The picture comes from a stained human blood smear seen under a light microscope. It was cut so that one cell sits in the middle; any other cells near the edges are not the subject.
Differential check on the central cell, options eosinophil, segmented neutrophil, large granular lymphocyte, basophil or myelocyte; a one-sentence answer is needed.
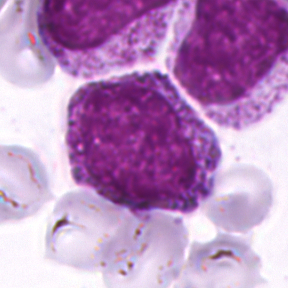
Positioned in the middle of the crop is a myelocyte.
